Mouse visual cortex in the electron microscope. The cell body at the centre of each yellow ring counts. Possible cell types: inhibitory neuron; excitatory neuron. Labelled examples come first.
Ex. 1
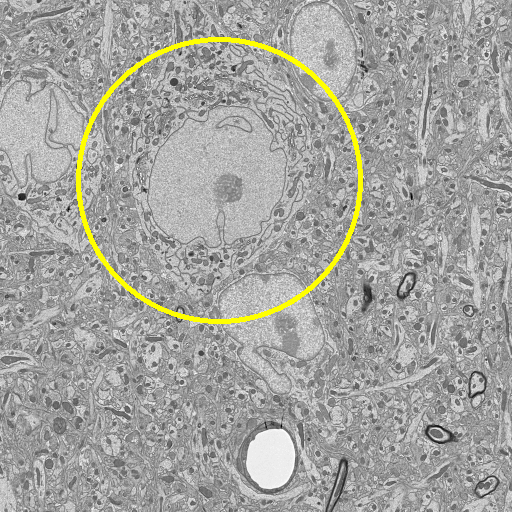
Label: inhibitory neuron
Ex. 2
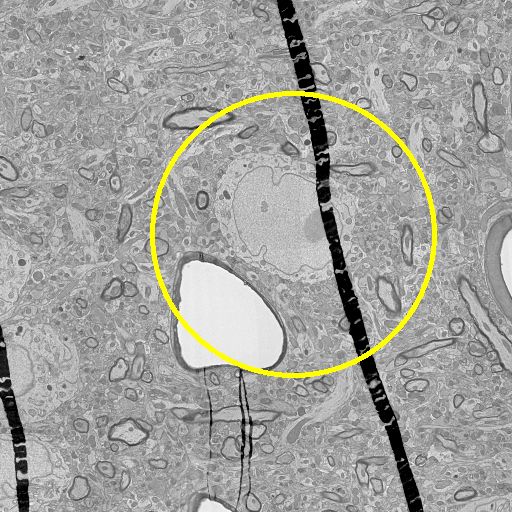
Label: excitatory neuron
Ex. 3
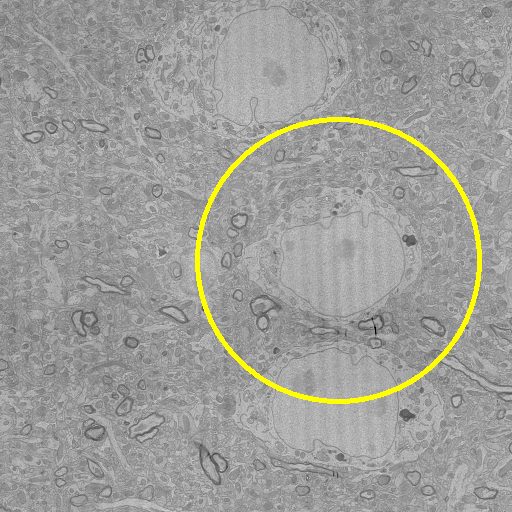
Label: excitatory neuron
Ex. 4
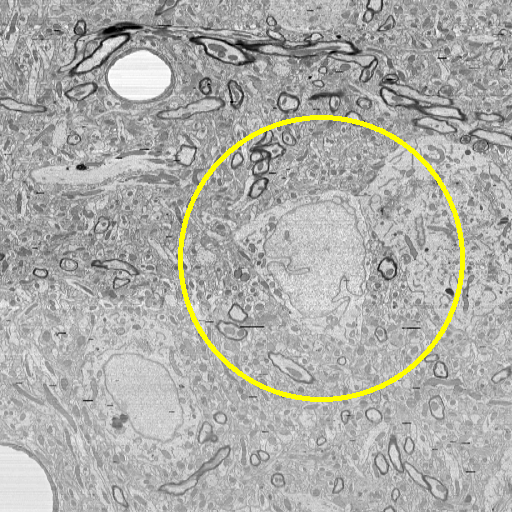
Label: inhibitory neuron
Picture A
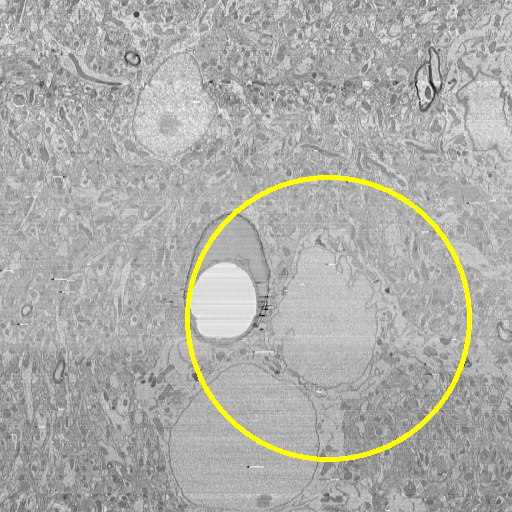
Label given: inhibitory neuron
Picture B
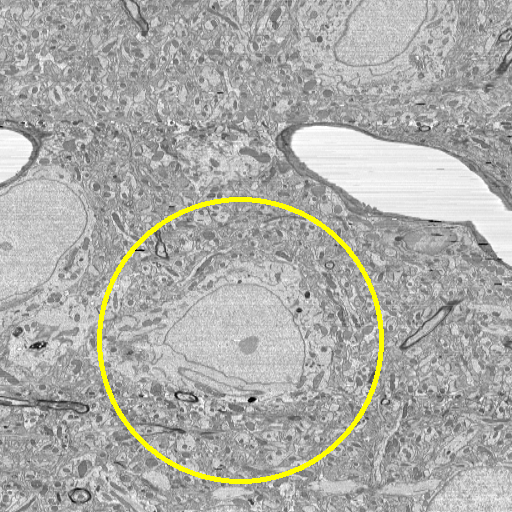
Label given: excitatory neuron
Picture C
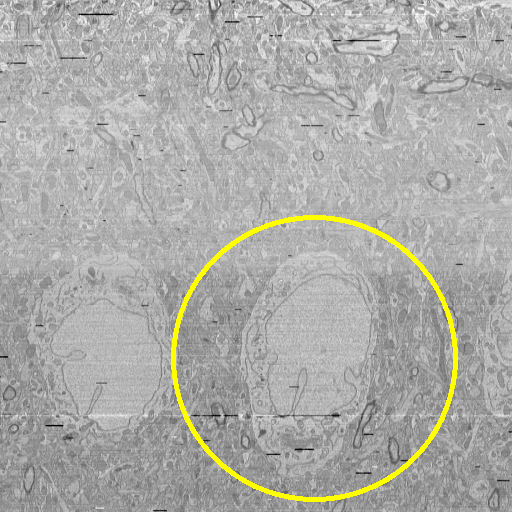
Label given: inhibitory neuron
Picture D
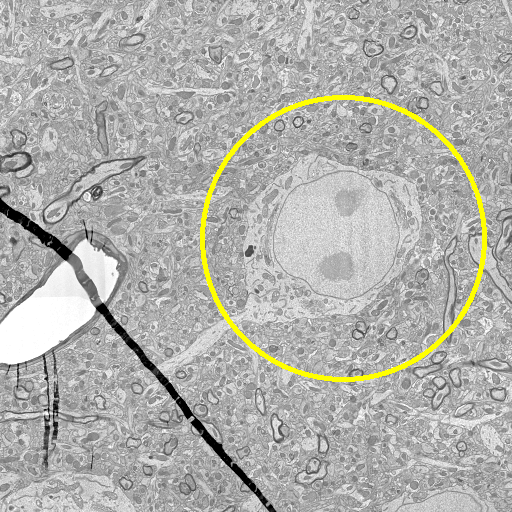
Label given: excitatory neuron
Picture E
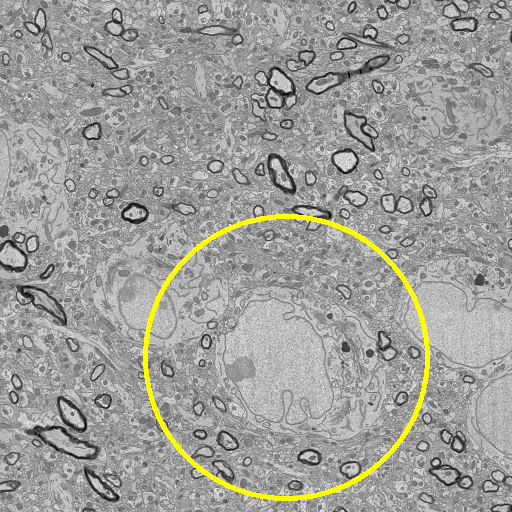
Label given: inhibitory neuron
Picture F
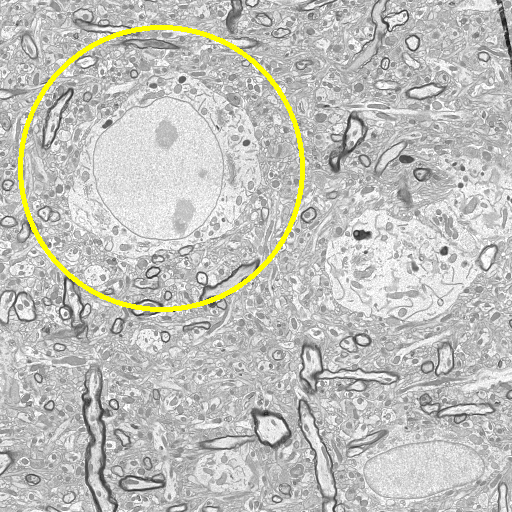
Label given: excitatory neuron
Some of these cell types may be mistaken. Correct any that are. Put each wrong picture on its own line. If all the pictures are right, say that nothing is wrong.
Every label is right.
